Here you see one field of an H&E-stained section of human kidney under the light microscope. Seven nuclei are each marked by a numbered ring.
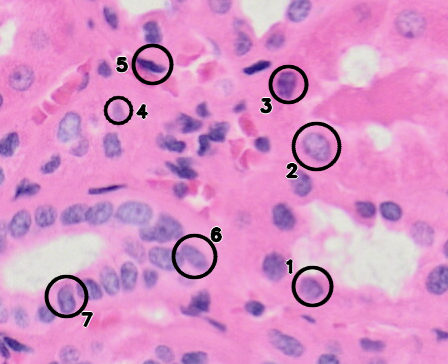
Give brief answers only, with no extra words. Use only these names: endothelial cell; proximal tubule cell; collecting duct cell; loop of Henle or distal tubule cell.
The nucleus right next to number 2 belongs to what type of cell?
loop of Henle or distal tubule cell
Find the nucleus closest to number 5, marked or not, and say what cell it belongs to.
loop of Henle or distal tubule cell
